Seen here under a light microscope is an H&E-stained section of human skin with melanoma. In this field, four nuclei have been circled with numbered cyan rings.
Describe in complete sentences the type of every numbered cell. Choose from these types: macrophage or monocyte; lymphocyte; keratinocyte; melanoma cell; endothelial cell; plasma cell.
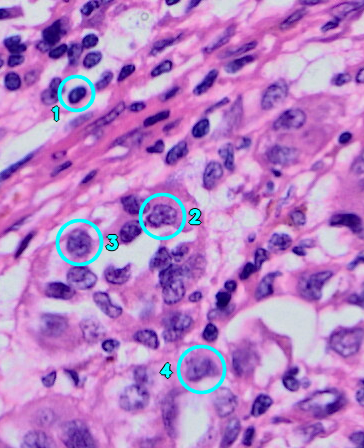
Cell 1 is a lymphocyte. Cells 2, 3 and 4 are melanoma cells.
